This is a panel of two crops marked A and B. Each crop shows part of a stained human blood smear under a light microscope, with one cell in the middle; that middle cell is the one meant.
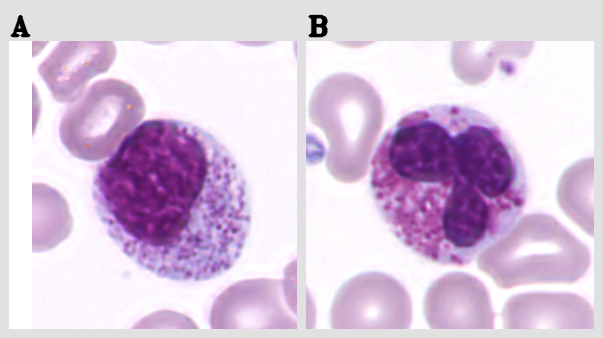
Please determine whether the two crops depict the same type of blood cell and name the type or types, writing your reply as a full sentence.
No, it is crop A that shows a myelocyte, and crop B that shows an eosinophil.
